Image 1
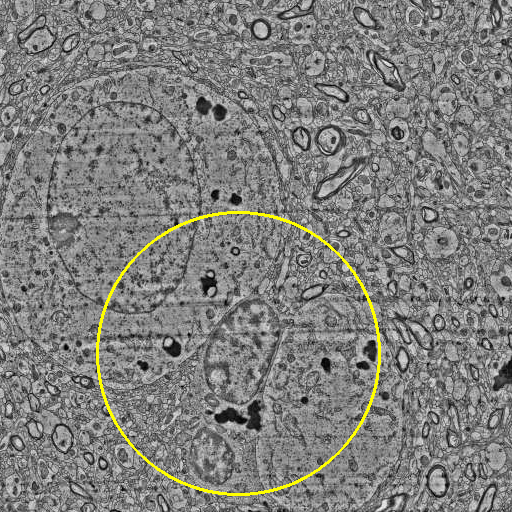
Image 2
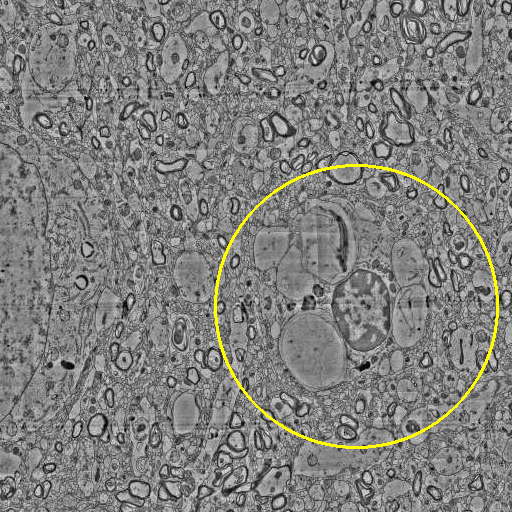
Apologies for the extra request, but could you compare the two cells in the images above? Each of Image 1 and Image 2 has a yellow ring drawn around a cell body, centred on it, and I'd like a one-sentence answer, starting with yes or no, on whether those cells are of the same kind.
No, the two cells are of two kinds.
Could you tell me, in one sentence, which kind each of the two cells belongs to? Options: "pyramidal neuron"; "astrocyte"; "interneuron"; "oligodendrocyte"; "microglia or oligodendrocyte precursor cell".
At the centre of the first ring sits an oligodendrocyte, and at the centre of the second sits a microglial cell or oligodendrocyte precursor cell.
